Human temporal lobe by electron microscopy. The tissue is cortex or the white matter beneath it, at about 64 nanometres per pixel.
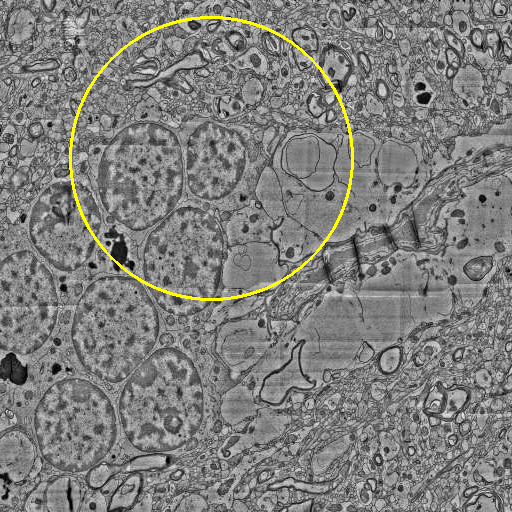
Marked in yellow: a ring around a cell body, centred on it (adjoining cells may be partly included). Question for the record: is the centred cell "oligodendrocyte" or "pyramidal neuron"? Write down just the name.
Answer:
oligodendrocyte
